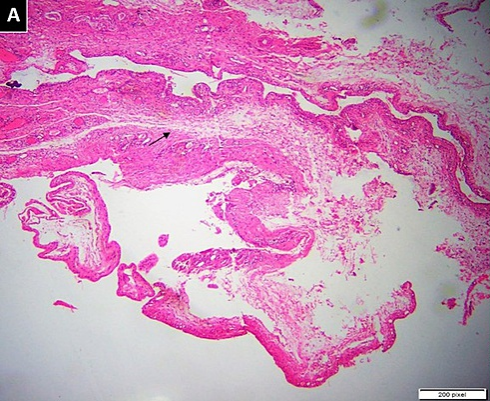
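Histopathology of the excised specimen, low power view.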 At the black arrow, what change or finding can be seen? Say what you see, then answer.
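At the arrow the stroma is paler and looser than the surrounding dense pink tissue. The pale area has a wispy, loosely textured matrix with few nuclei.
Hence: myxoid change.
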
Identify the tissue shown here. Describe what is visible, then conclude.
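Fibro collagenous cyst wall. Folded bands of pink fibrous tissue border empty spaces. The inner surfaces of the bands lack a distinct epithelial cell layer.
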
